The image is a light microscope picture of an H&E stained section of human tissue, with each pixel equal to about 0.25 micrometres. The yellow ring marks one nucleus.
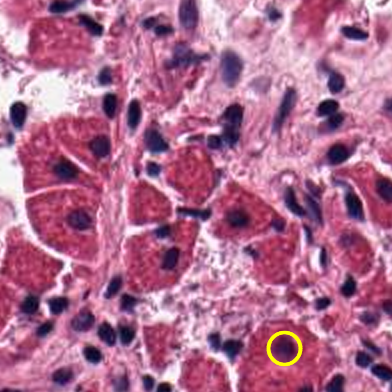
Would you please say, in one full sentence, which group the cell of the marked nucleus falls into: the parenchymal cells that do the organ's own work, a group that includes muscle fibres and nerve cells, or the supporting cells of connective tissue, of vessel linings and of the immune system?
In this section the marked nucleus belongs to a parenchymal cell, namely a parietal cell.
